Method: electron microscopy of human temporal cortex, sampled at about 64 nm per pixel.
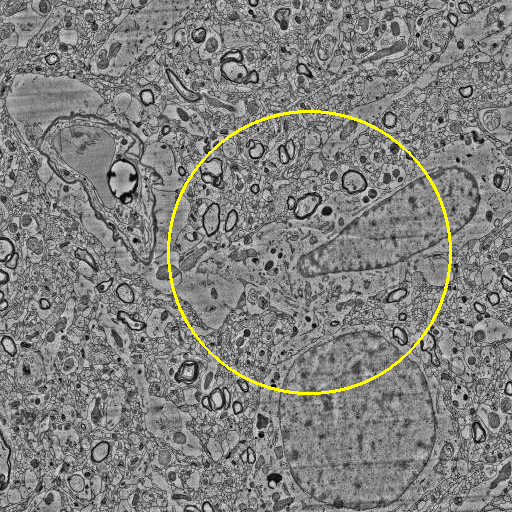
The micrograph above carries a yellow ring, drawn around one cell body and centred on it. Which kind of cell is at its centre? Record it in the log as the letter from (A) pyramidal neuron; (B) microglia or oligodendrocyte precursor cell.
B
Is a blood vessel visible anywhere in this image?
Yes, a blood vessel can be seen.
